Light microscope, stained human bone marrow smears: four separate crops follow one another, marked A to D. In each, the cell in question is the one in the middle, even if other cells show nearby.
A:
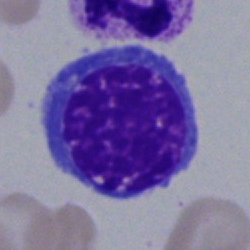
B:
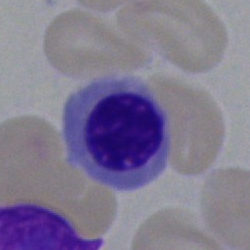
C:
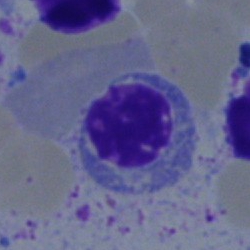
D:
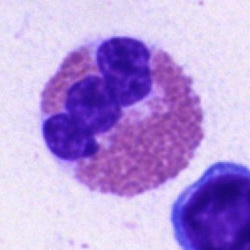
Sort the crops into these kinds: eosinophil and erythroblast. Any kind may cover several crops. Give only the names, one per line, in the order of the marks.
erythroblast
erythroblast
erythroblast
eosinophil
